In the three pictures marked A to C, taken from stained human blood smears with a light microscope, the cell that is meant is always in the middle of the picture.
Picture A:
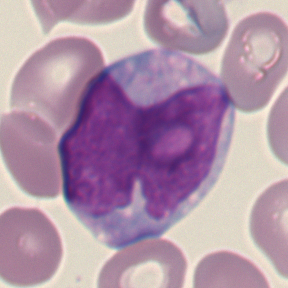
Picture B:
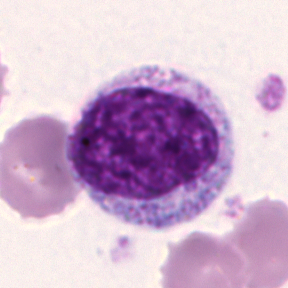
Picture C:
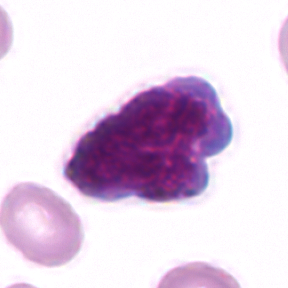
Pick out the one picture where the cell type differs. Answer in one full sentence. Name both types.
The others show atypical promyelocytes, but picture B shows a myelocyte.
